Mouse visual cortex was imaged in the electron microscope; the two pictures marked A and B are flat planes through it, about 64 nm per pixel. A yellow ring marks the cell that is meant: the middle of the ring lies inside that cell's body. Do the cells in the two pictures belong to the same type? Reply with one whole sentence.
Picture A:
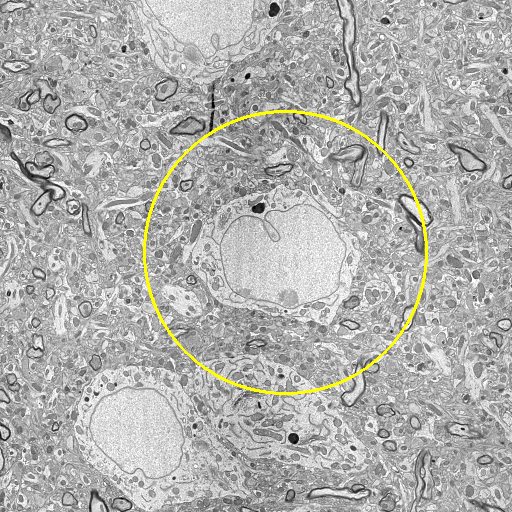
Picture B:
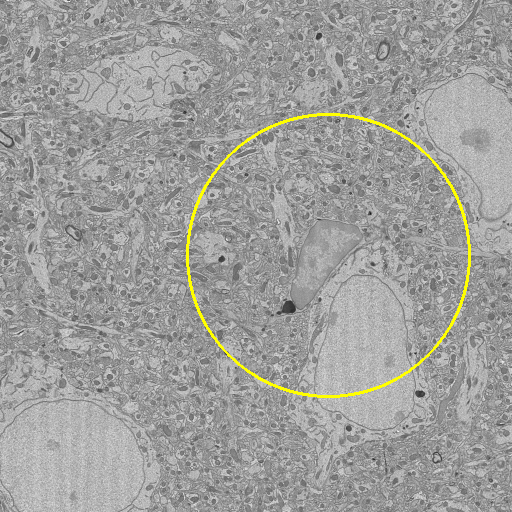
No; the cell in picture A is an excitatory neuron, while the one in picture B is a microglial cell.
